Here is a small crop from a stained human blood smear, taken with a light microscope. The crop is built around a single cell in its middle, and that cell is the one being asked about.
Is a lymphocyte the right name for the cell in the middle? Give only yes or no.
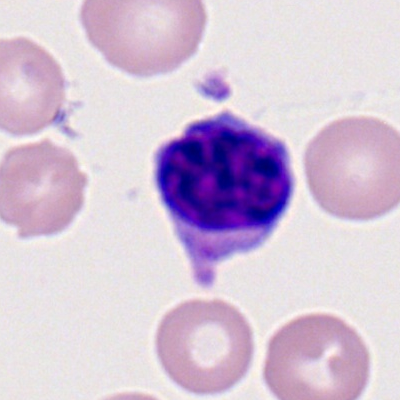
yes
